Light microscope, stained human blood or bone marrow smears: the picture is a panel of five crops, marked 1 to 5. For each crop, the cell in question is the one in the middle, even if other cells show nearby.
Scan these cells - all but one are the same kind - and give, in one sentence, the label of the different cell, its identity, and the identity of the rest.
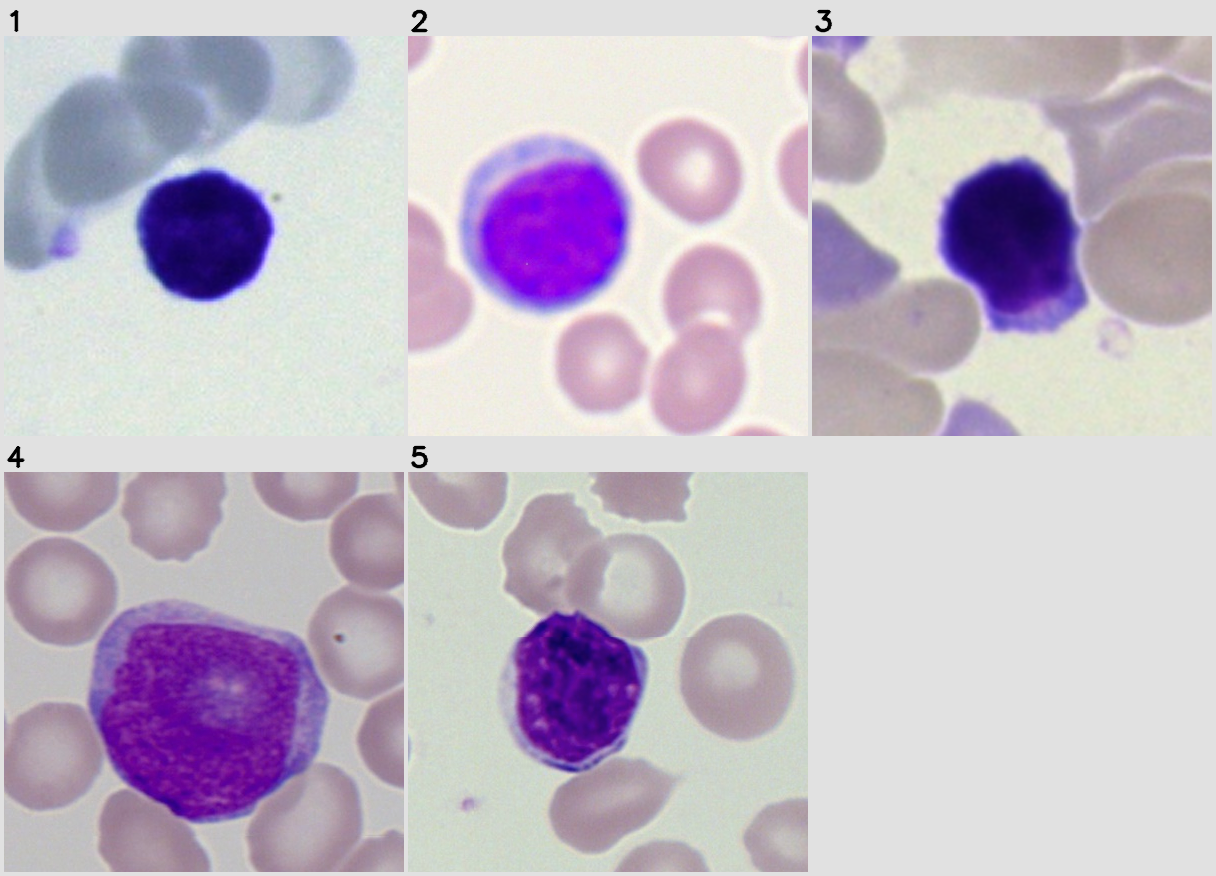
The different crop is crop 4, a blast; all the others show lymphocytes.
